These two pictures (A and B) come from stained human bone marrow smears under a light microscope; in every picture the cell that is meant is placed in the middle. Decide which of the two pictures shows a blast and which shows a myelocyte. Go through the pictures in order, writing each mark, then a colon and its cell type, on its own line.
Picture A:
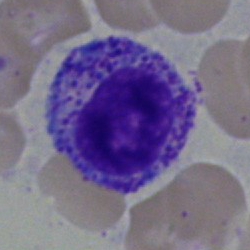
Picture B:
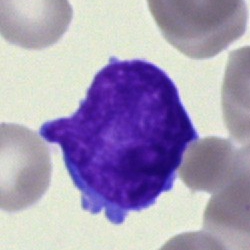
A: myelocyte
B: blast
